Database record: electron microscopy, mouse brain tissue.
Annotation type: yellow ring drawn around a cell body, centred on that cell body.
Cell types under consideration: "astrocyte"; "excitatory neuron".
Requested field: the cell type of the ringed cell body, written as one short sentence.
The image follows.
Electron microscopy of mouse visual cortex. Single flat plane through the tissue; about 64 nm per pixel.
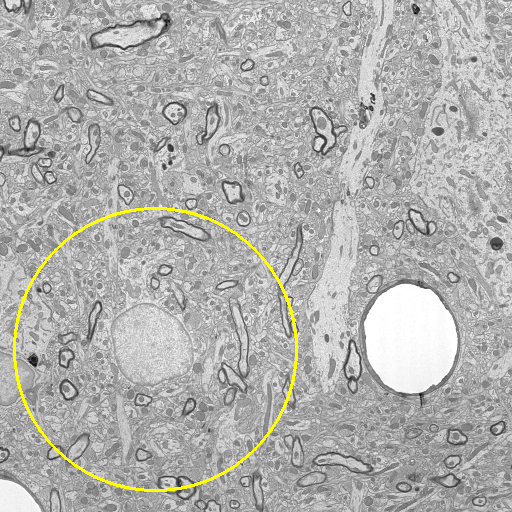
The ringed cell body represents an astrocyte.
